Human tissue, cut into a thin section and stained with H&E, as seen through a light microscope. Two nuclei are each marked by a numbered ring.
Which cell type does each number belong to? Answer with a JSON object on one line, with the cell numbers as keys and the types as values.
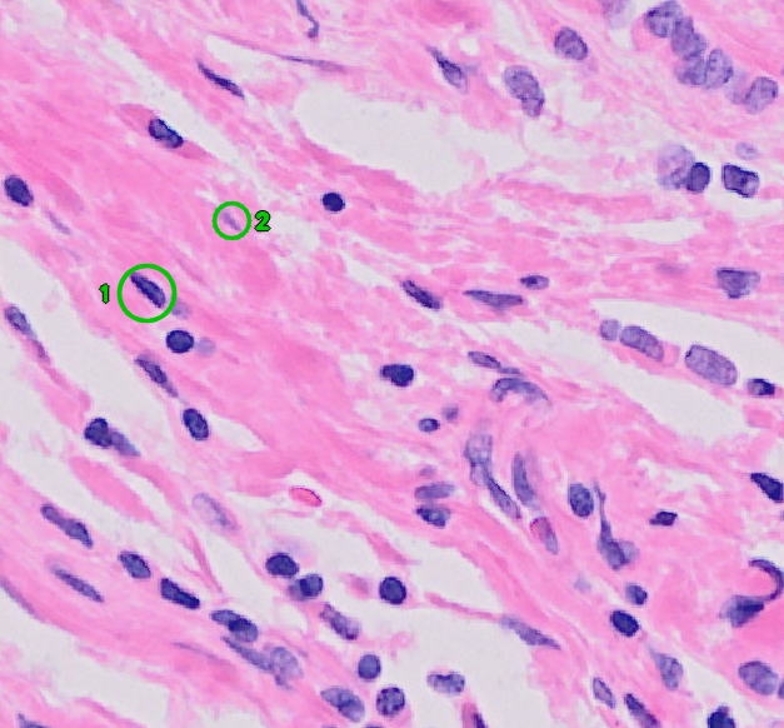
{"1": "lymphocyte", "2": "fibroblast"}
